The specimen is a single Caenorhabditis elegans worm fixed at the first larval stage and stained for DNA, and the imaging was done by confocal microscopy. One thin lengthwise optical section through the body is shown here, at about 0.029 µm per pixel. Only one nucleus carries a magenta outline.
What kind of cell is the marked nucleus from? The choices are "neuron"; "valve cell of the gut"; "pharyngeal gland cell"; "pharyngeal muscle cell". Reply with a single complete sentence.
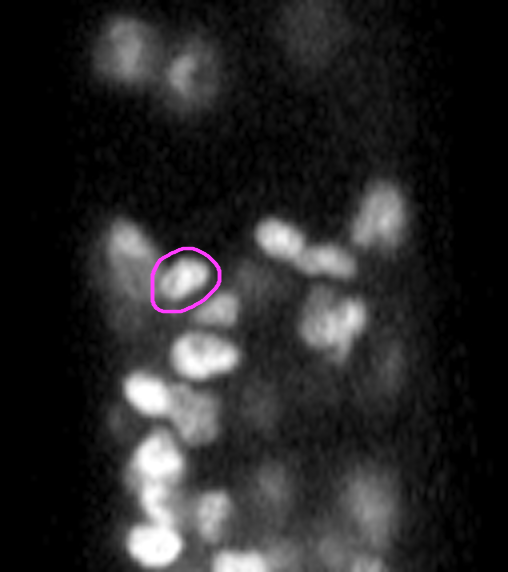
This nucleus is from a valve cell of the gut.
